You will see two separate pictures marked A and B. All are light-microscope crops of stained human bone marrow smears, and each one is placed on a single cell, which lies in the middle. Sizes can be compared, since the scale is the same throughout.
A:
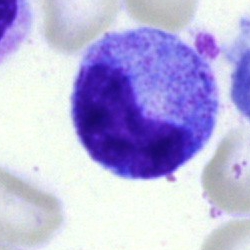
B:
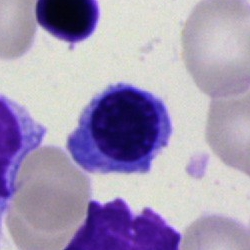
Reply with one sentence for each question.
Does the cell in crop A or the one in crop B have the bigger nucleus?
It is the nucleus in crop A, about 2 times as large in area as the one in crop B.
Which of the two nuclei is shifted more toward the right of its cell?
In crop B the nucleus is shifted more toward the right.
